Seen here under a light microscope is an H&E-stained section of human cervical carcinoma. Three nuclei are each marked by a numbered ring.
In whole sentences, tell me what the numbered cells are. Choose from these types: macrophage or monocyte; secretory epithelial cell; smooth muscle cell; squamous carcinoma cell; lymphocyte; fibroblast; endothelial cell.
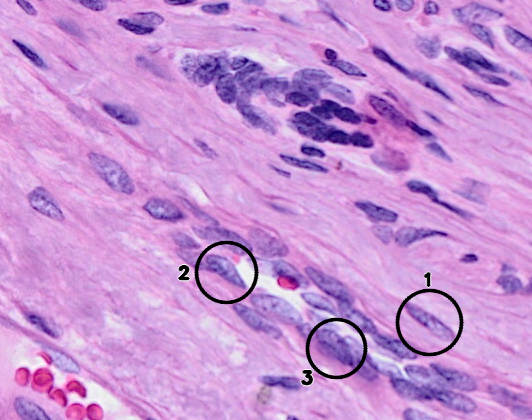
Cell 1 is a smooth muscle cell. Cells 2 and 3 are endothelial cells.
